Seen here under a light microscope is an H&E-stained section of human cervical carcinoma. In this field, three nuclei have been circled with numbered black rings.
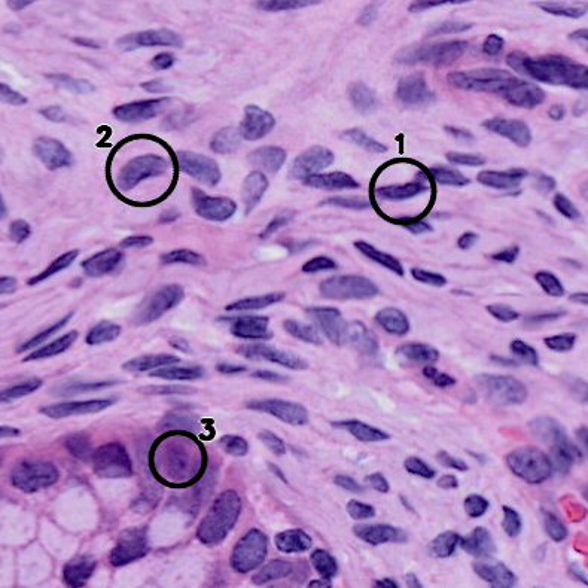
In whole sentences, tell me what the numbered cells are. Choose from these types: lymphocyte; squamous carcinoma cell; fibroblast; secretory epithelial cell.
Cells 1 and 2 are fibroblasts. Cell 3 is a secretory epithelial cell.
